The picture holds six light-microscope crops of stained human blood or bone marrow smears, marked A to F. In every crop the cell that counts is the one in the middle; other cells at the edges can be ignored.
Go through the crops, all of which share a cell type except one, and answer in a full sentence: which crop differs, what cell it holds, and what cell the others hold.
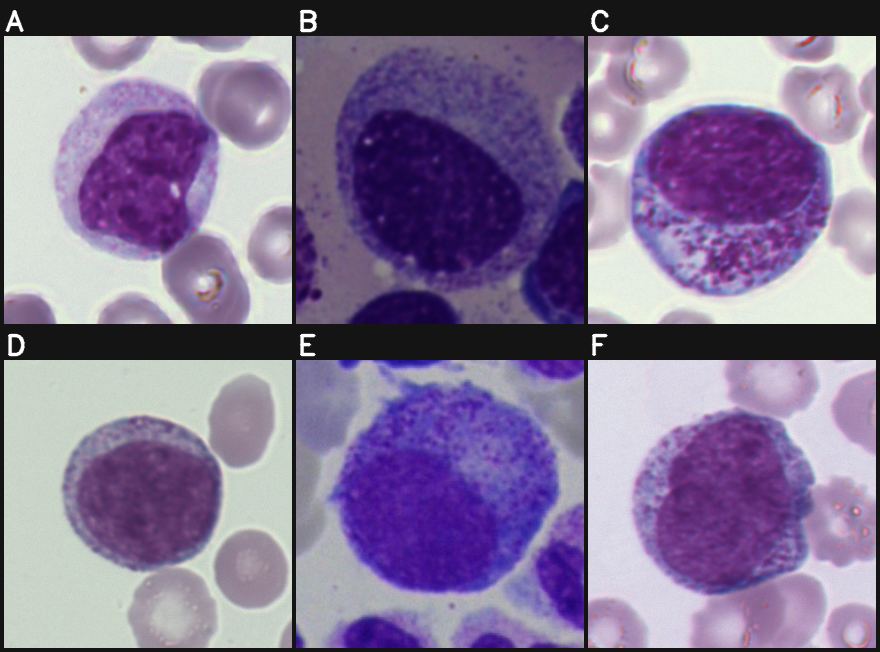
The crop that differs is crop A, showing a myelocyte; the others show promyelocytes.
